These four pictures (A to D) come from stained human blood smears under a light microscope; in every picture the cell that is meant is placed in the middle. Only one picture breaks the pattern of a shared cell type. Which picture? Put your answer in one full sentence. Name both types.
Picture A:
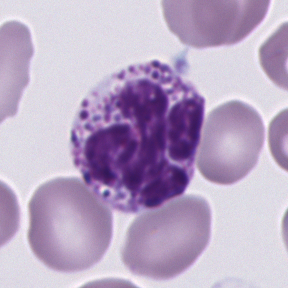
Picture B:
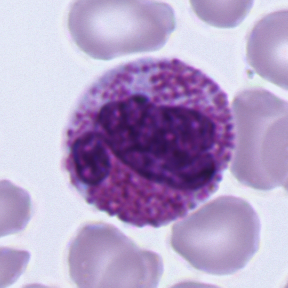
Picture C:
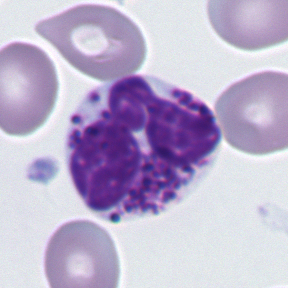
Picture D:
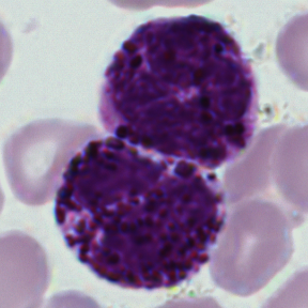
Picture B differs, because its cell is an eosinophil and the rest are basophils.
